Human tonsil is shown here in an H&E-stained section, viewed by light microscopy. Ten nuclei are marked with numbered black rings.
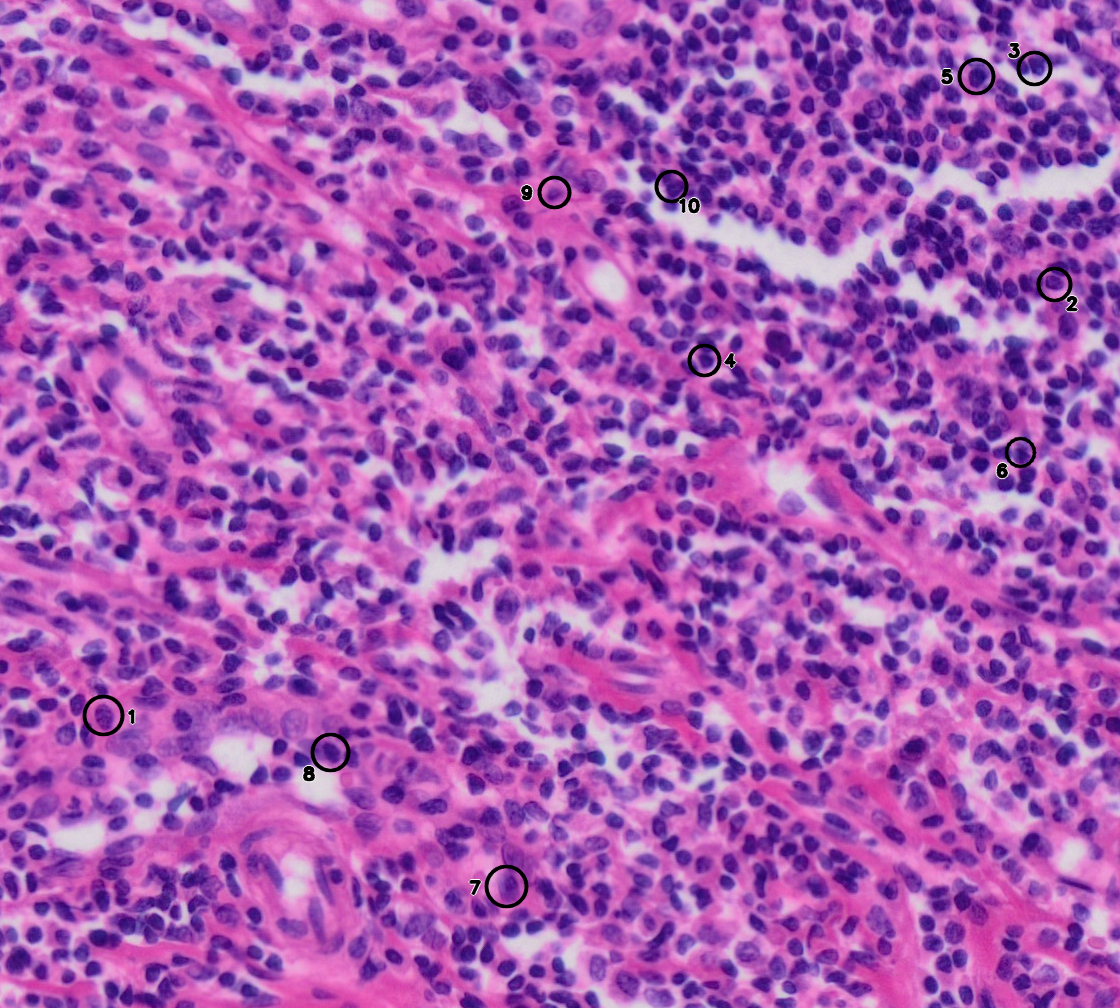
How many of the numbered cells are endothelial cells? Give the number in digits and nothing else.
4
